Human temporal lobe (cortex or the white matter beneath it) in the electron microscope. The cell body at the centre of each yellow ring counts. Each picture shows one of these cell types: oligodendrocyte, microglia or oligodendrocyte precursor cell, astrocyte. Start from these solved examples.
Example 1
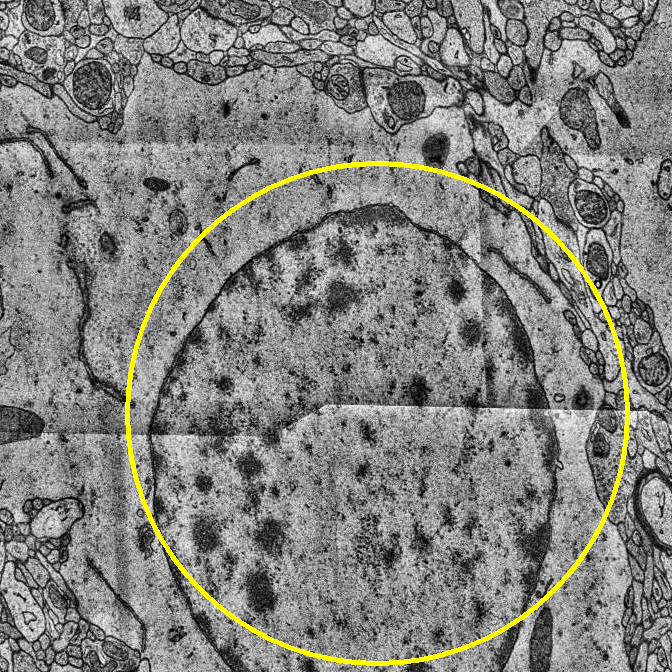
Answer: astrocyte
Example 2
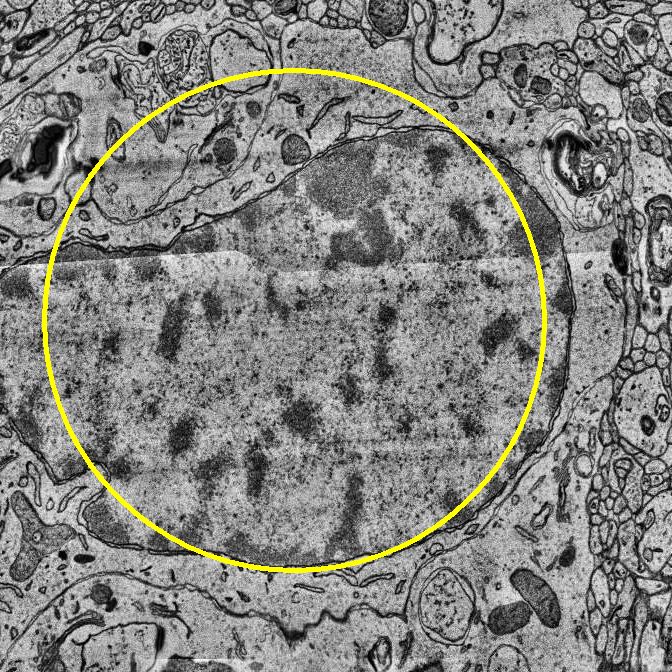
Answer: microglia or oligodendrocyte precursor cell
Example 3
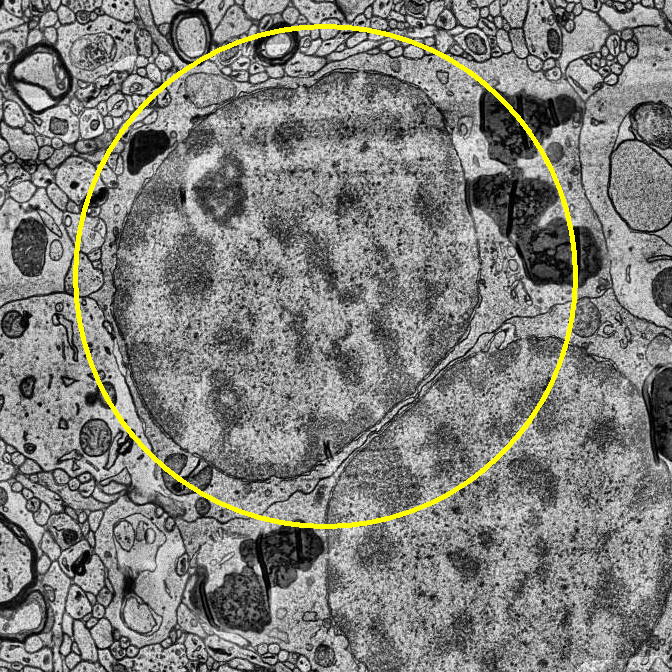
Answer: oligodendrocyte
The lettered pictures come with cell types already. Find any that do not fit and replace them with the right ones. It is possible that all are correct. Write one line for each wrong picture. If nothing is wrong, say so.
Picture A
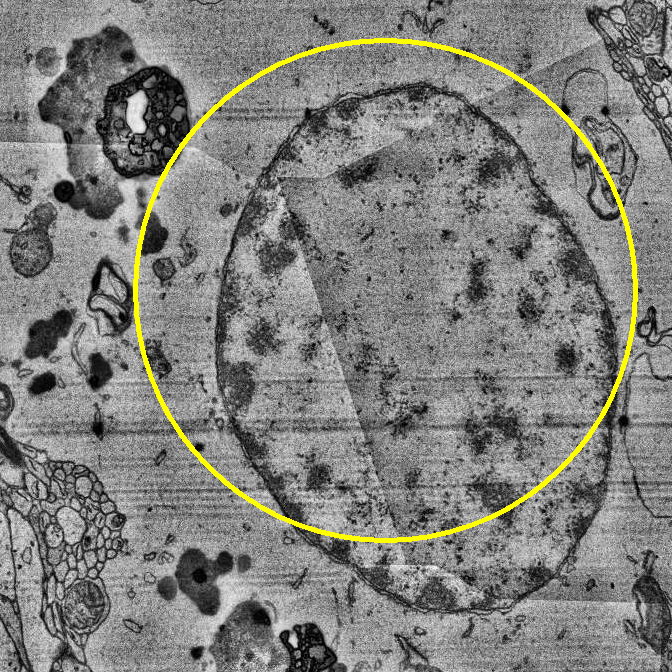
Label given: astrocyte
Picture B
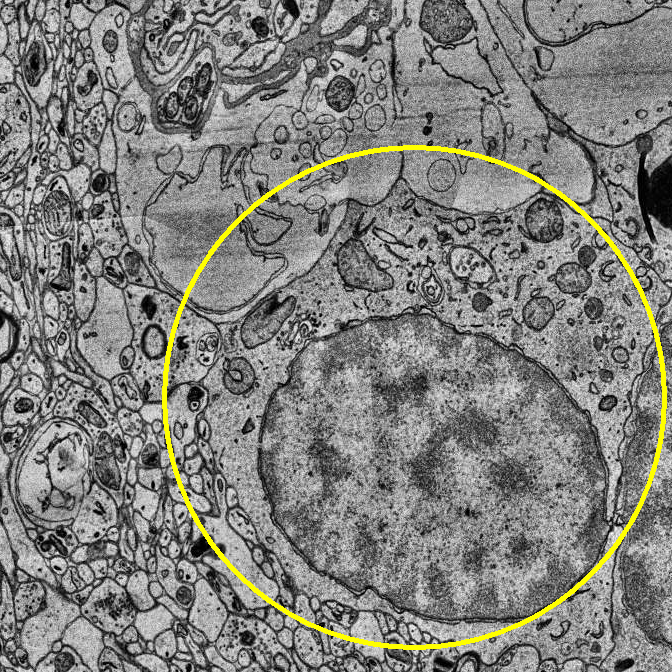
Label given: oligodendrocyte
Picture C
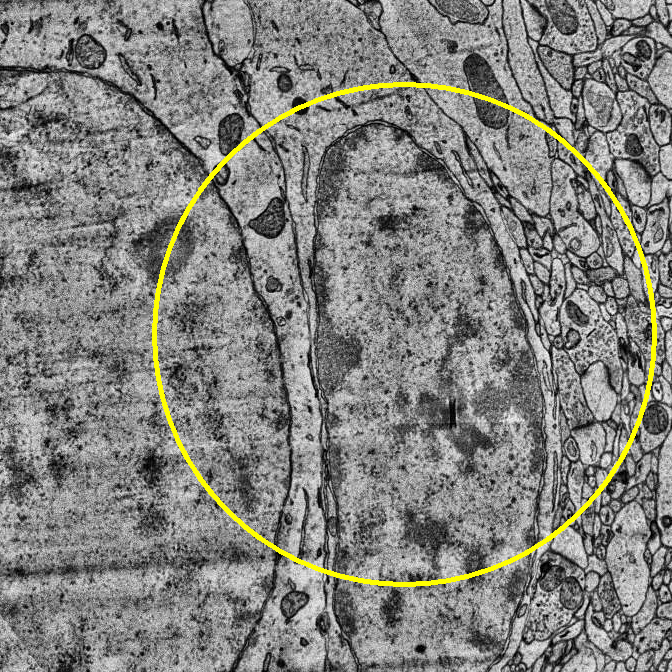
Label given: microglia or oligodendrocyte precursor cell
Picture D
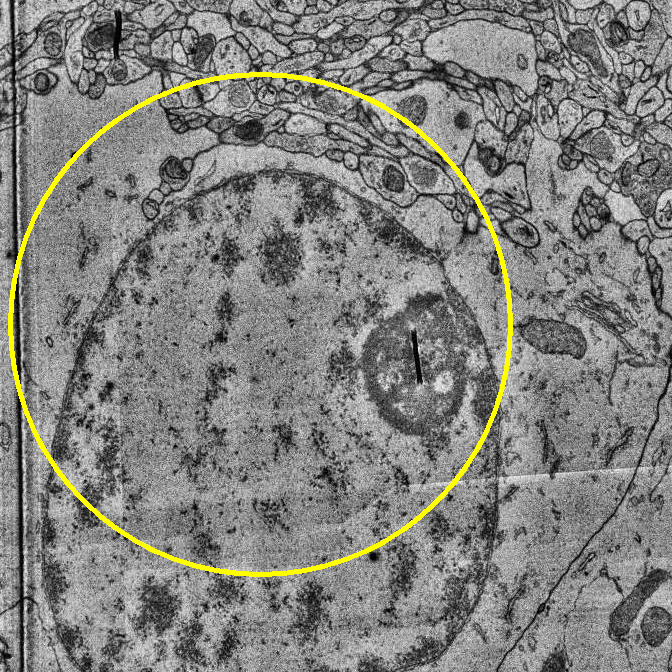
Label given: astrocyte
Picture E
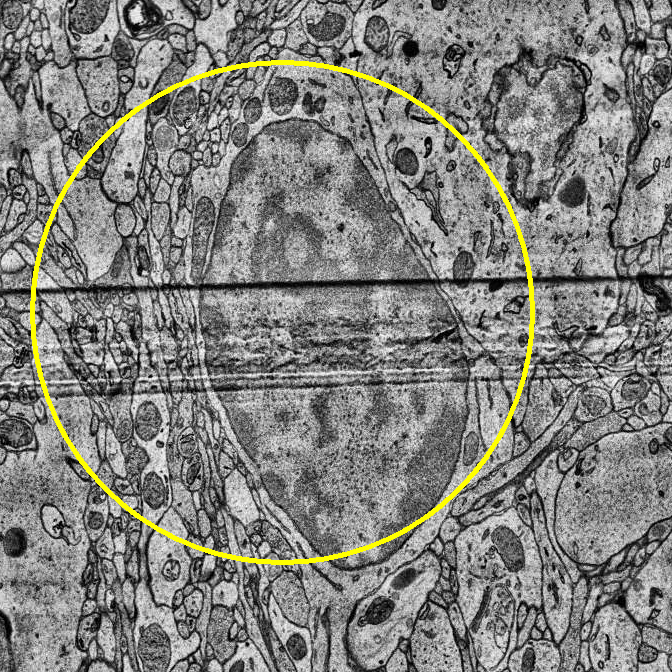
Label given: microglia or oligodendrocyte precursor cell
Nothing to fix; every label fits.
